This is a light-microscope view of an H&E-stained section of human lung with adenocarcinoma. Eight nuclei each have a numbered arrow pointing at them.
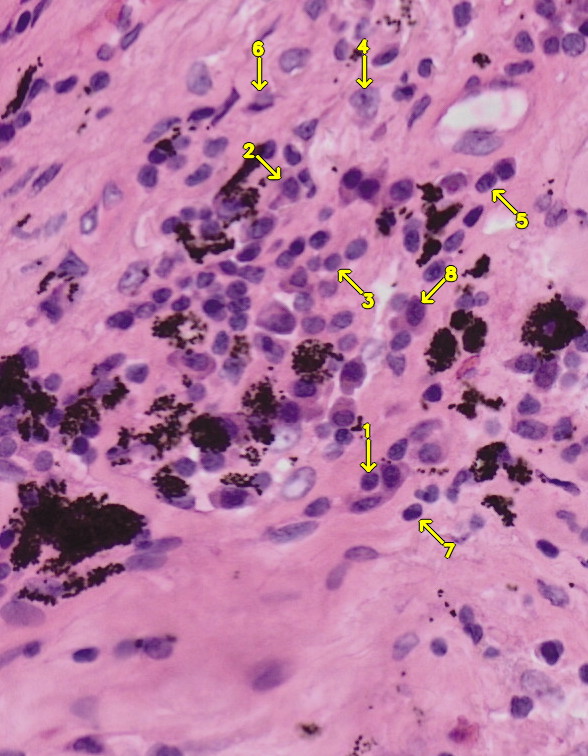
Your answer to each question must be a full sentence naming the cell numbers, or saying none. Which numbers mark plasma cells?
The cells numbered 2, 6 and 8 are, by type, plasma cells.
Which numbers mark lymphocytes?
In this section, the cells numbered 1, 3, 5 and 7 are lymphocytes.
